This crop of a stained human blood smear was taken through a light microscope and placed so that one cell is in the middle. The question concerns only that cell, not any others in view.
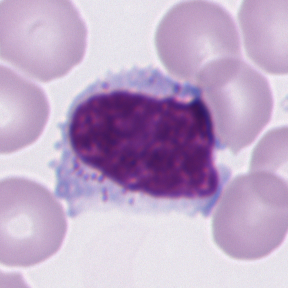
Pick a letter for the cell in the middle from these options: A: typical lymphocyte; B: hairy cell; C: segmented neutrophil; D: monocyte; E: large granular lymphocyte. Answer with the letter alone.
E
